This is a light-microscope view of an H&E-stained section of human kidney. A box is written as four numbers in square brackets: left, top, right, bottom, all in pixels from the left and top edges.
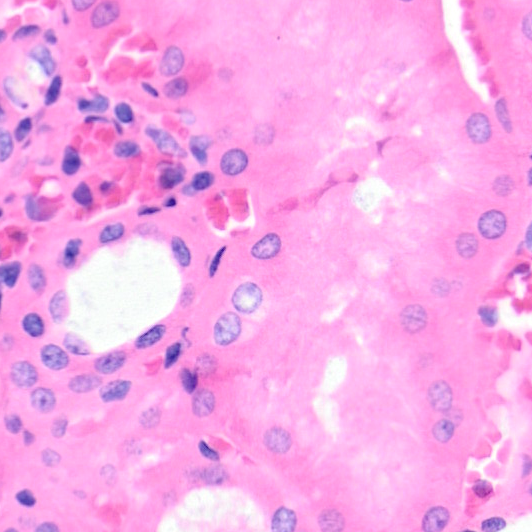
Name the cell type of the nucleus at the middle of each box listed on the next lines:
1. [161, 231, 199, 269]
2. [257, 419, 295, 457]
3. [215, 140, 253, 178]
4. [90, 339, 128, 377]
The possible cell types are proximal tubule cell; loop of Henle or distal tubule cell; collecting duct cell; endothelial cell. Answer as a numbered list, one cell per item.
1. loop of Henle or distal tubule cell
2. proximal tubule cell
3. proximal tubule cell
4. loop of Henle or distal tubule cell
